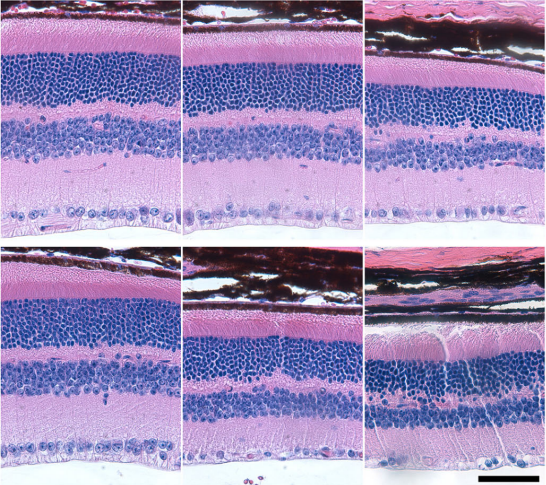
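At the top lies a dark brown-black pigmented band, beneath it a pink striated band of photoreceptor segments, then a thick layer of densely packed dark blue round nuclei many rows deep. Below follow a thin pink plexiform band, a second nuclear layer a few rows thick, and a broad pale pink plexiform layer. At the bottom a single sparse row of larger, paler nuclei with visible cytoplasm forms the innermost cell layer.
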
